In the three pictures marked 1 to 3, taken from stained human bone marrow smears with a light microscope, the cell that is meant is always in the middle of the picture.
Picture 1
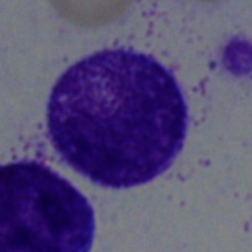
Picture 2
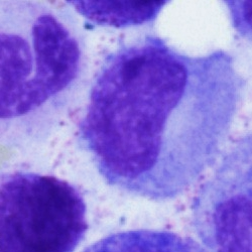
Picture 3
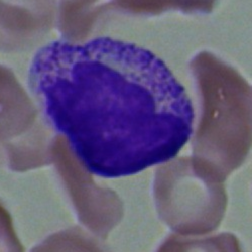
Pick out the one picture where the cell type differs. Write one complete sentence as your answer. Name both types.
Picture 3 differs, because its cell is a myelocyte and the rest are metamyelocytes.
